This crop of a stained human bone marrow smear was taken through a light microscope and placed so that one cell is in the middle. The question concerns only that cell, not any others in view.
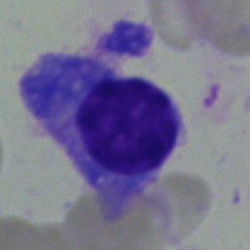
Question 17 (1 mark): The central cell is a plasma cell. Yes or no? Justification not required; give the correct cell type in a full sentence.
Yes, that is right: the middle cell is a plasma cell.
